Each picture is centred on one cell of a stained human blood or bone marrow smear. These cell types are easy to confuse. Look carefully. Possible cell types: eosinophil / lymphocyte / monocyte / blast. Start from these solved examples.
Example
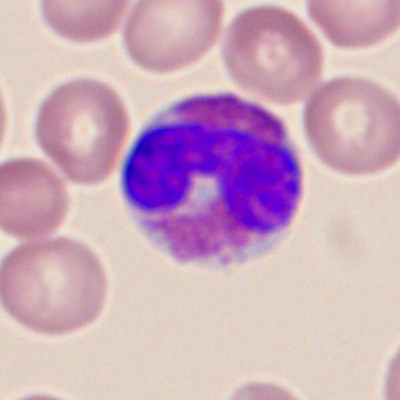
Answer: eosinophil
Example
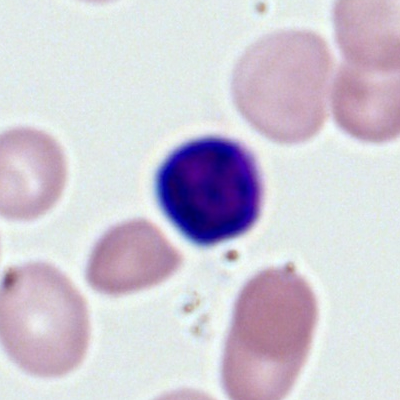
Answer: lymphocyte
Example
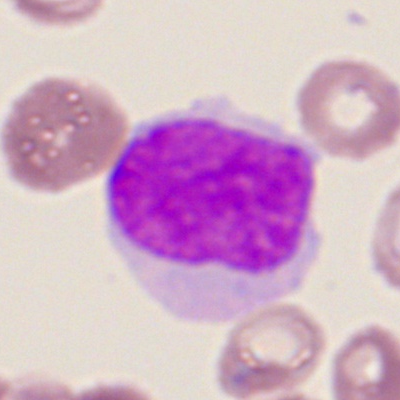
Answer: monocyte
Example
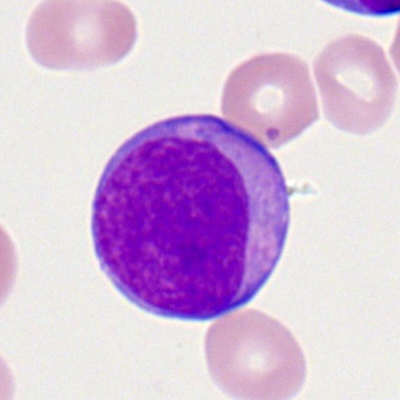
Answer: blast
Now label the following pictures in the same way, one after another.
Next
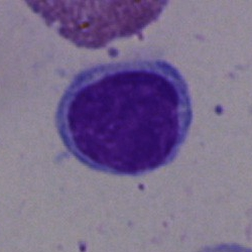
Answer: lymphocyte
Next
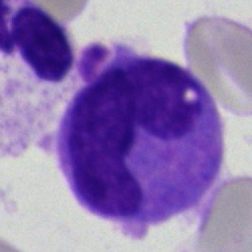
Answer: monocyte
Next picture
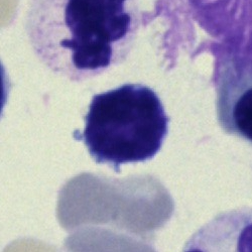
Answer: lymphocyte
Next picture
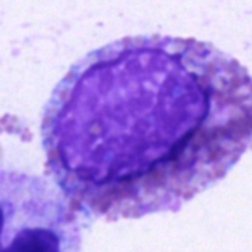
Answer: eosinophil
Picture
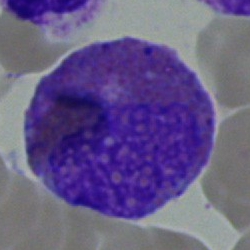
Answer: eosinophil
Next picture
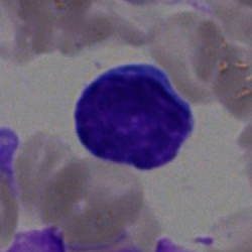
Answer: lymphocyte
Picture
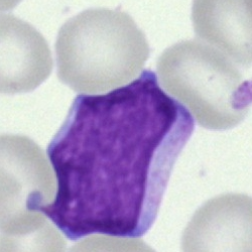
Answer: blast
